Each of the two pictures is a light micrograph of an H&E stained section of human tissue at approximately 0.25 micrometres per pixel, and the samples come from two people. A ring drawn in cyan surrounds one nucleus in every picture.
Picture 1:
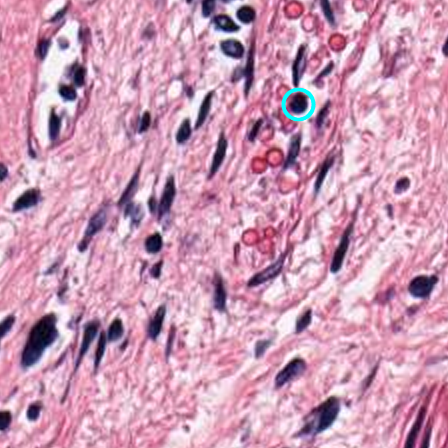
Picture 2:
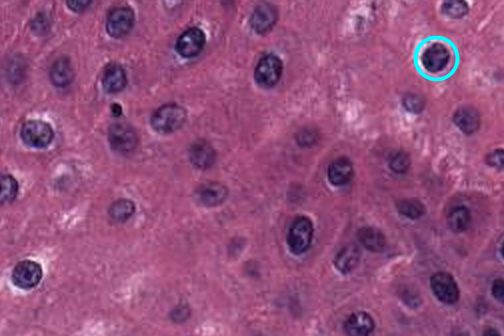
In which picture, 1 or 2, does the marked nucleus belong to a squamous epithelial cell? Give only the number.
2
